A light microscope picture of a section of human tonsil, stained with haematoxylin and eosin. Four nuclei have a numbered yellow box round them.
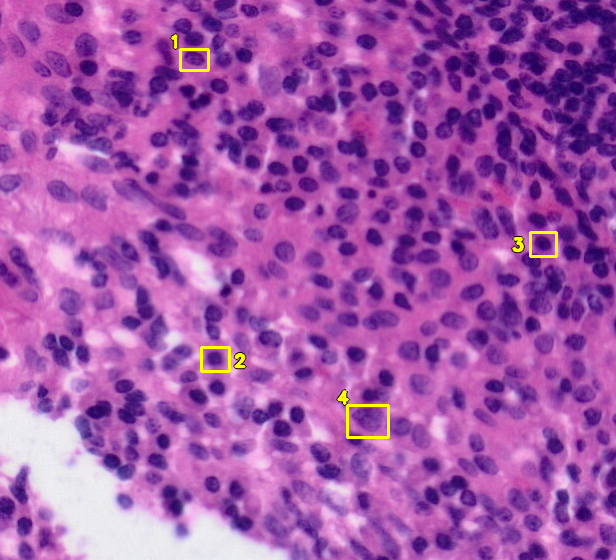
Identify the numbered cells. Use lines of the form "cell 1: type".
cell 1: plasma cell
cell 2: plasma cell
cell 3: plasma cell
cell 4: squamous epithelial cell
